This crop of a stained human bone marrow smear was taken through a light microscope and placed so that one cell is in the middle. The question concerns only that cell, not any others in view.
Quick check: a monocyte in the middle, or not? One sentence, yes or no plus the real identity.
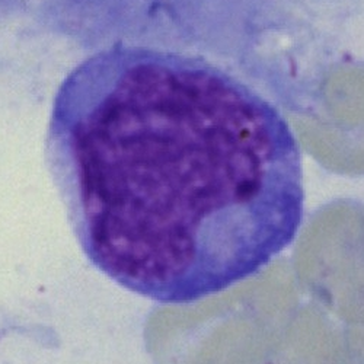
Yes, the cell positioned in the middle is a monocyte.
